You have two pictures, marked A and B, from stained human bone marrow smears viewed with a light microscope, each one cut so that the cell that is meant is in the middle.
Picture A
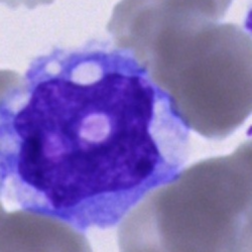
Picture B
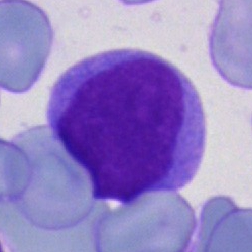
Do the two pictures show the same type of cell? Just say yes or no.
no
